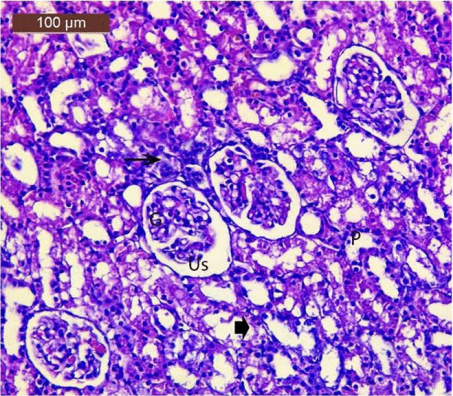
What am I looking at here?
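This section of renal cortex shows several glomeruli among injured tubules. The glomerular tufts are cellular and are surrounded by a clear rim of urinary space. Many tubules are lined by cells with pale, foamy, vacuolated cytoplasm, and their lumens are widened and empty. Scattered dark, shrunken nuclei are seen in tubular cells, and small clusters of darkly stained small nuclei lie between tubules. Overall the cortex looks paler and less compact than normal kidney.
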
